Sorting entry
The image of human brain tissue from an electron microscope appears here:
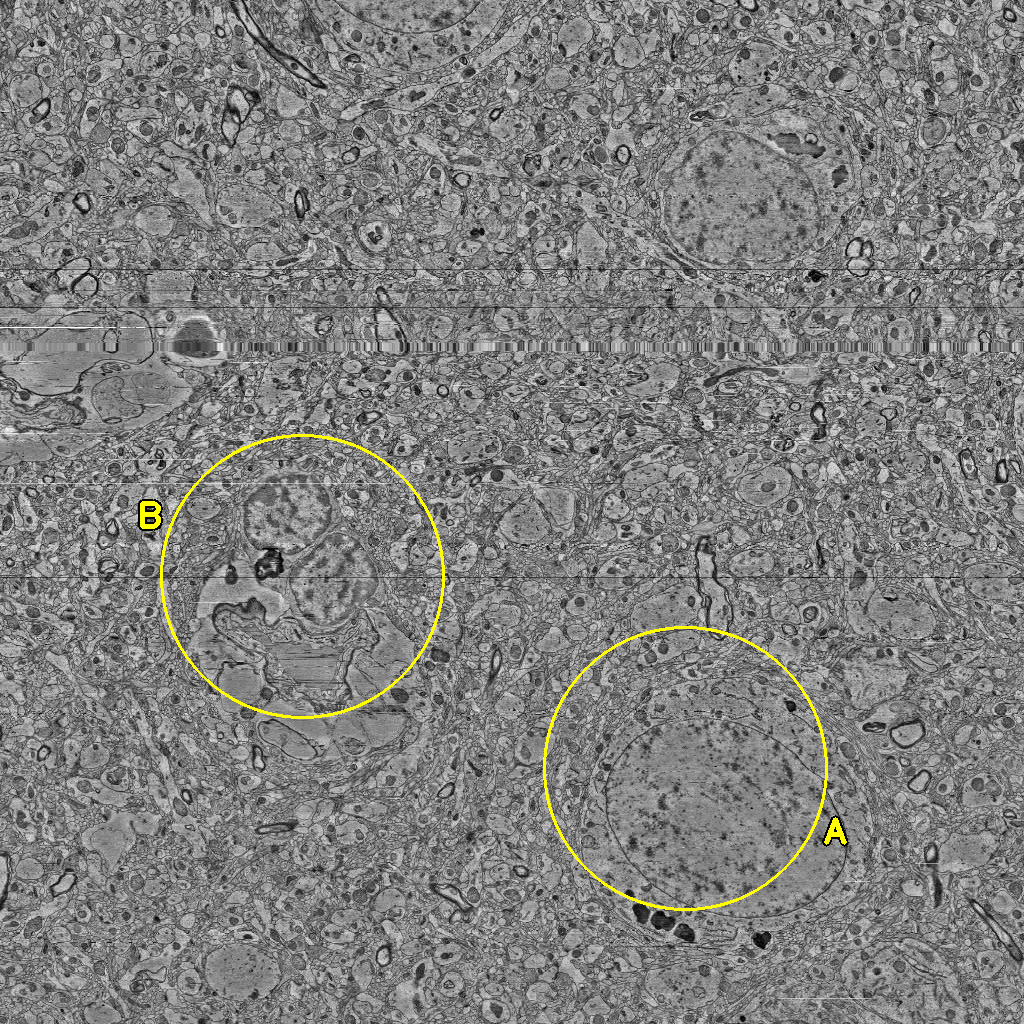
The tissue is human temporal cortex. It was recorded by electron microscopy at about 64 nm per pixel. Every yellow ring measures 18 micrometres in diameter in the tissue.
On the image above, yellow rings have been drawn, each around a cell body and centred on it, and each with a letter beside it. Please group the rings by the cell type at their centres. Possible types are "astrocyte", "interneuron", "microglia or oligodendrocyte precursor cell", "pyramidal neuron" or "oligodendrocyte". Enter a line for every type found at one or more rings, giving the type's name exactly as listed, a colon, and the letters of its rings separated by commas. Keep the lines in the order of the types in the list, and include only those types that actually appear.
pyramidal neuron: A
oligodendrocyte: B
